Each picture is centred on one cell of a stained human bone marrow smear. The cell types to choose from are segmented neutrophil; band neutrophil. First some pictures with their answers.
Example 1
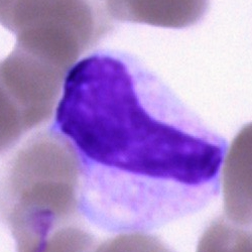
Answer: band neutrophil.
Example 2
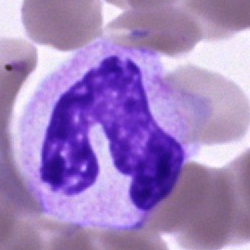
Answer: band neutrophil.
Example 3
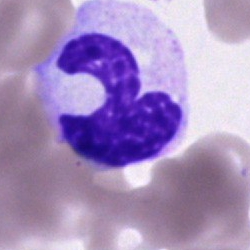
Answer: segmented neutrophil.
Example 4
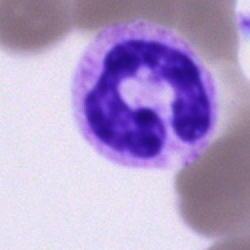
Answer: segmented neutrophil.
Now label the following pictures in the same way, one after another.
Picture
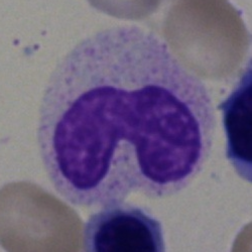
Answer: band neutrophil.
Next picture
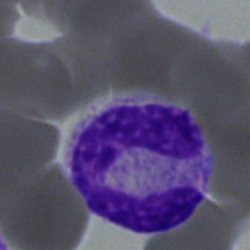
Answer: band neutrophil.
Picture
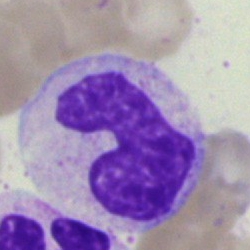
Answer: band neutrophil.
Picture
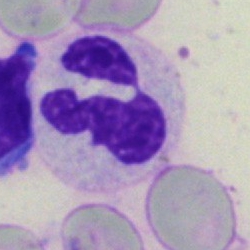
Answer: segmented neutrophil.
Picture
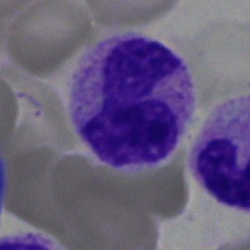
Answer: band neutrophil.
